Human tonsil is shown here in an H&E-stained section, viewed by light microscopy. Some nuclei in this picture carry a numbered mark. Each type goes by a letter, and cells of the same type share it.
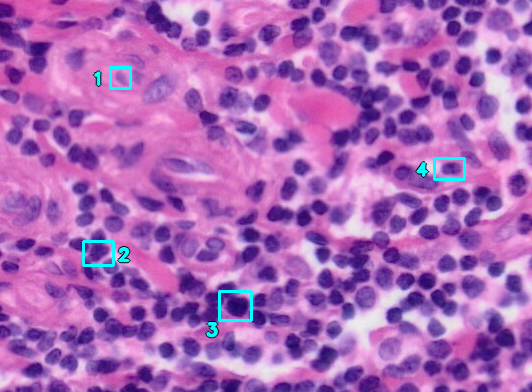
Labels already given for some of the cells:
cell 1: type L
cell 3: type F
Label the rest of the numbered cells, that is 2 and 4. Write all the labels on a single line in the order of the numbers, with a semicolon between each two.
type F; type L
